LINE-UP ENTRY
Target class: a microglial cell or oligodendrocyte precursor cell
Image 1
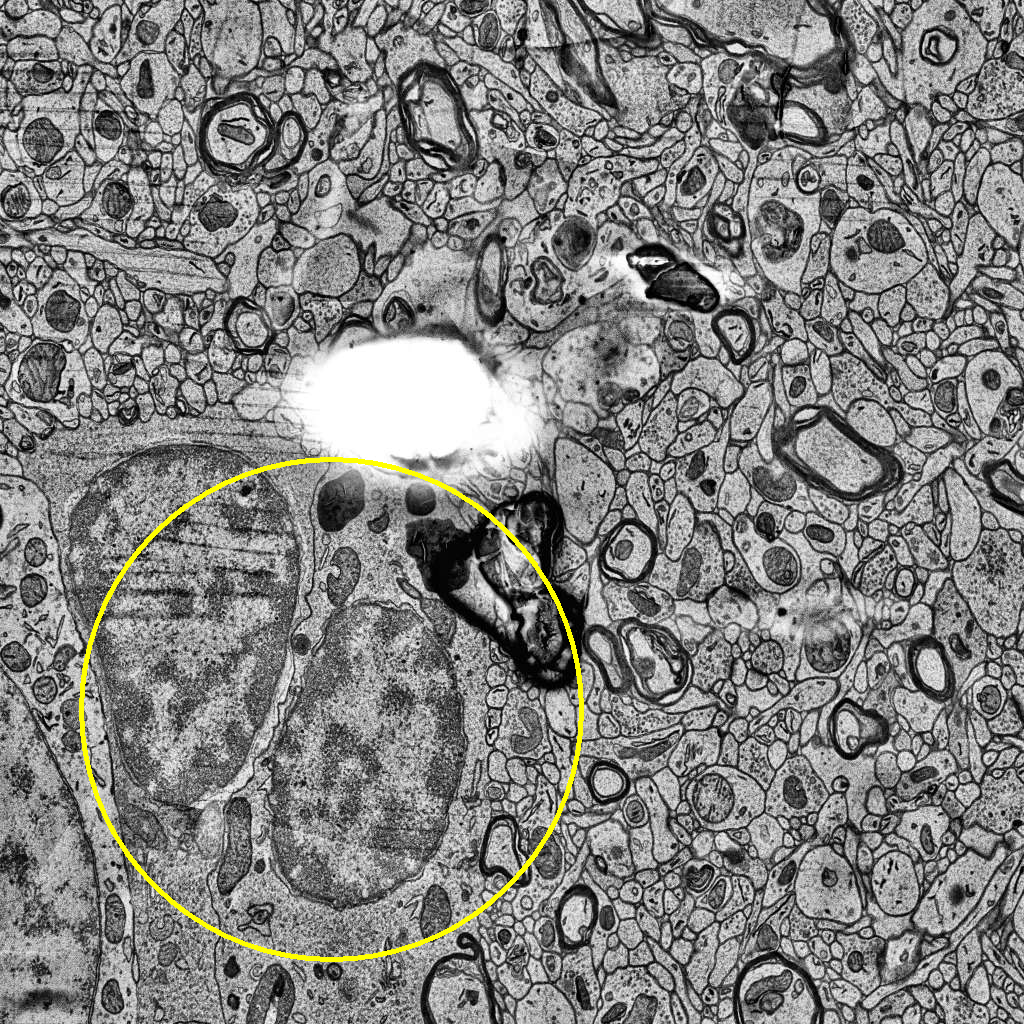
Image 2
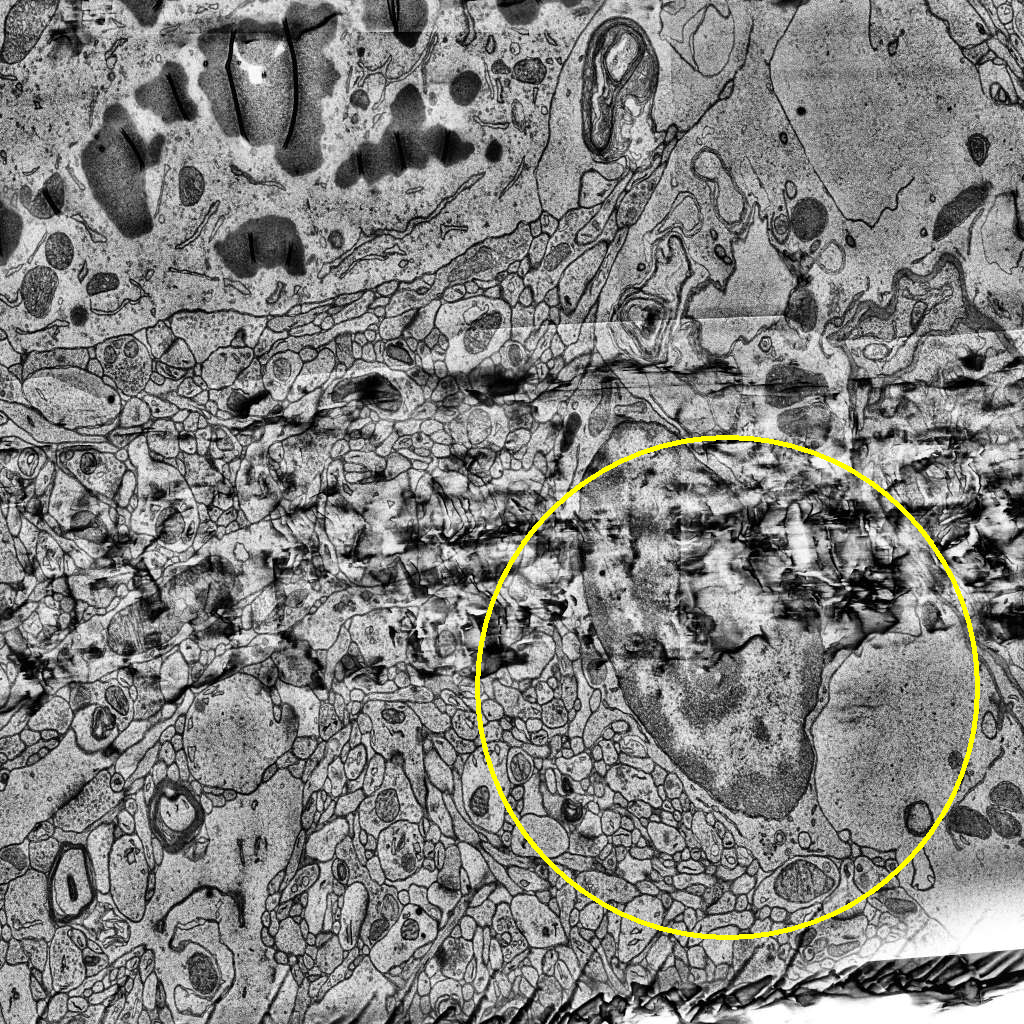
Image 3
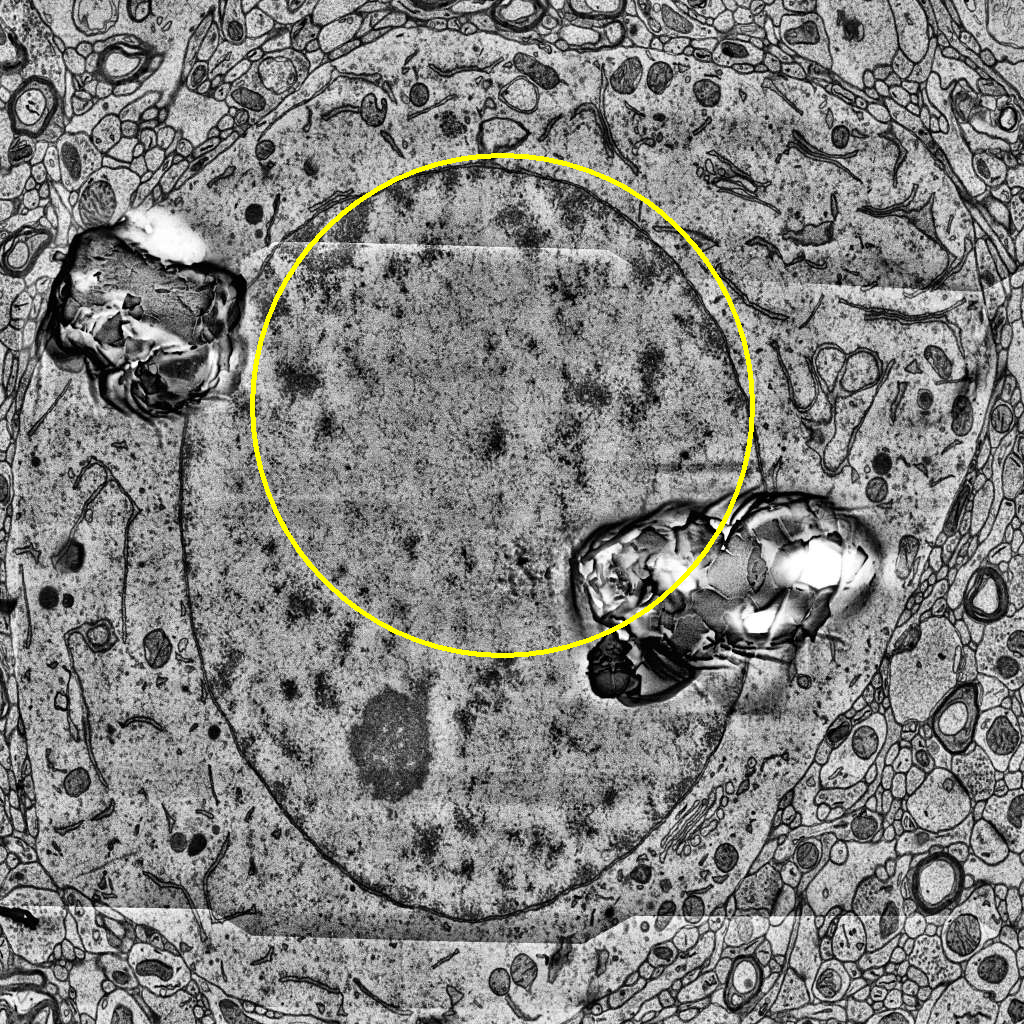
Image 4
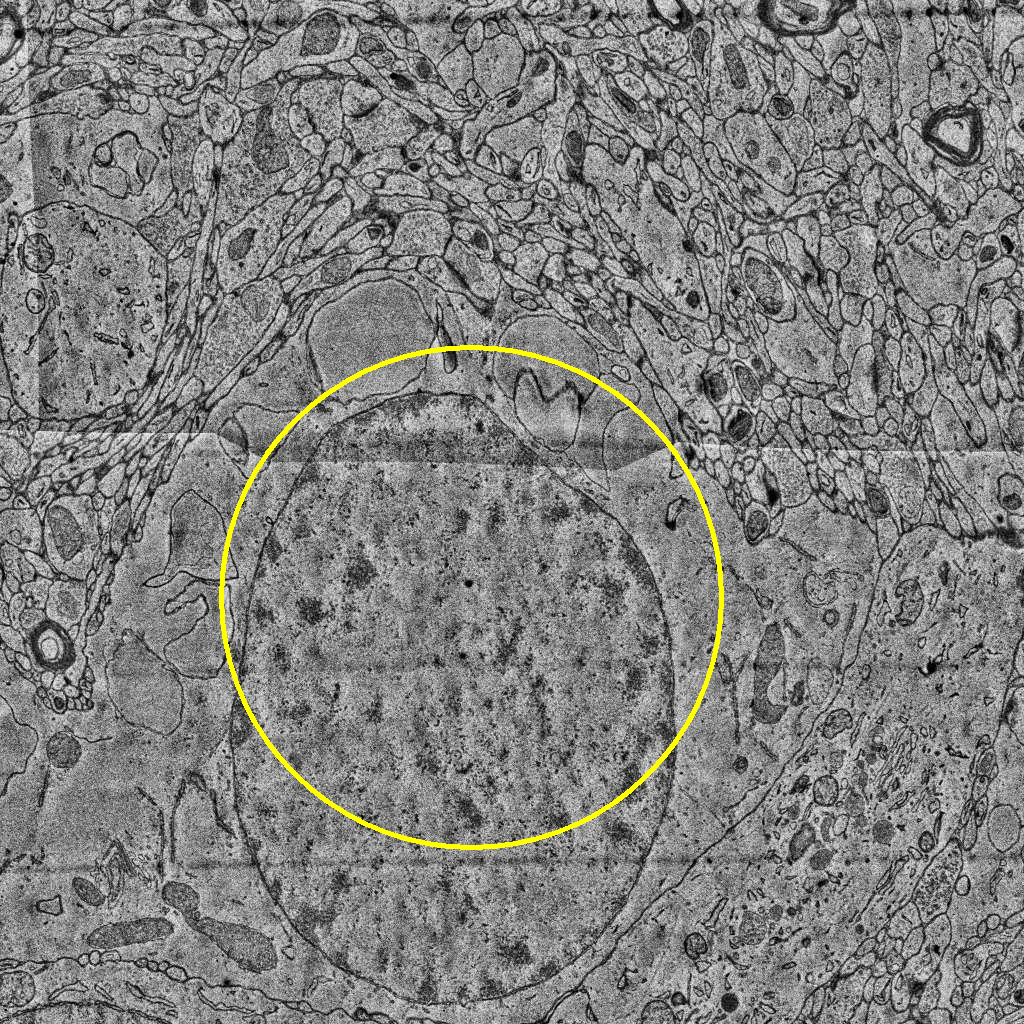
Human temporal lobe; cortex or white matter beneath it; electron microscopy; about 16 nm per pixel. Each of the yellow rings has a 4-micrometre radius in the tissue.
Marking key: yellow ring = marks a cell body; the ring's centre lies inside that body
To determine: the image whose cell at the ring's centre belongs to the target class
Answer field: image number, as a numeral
2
